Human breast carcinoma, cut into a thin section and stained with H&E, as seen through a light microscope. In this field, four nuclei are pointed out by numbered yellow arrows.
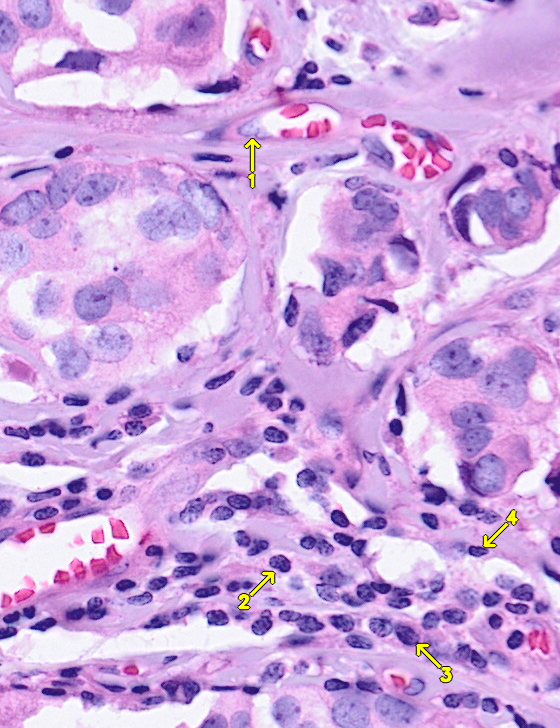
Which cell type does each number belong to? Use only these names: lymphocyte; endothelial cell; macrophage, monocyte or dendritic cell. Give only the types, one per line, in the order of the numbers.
endothelial cell
lymphocyte
lymphocyte
lymphocyte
